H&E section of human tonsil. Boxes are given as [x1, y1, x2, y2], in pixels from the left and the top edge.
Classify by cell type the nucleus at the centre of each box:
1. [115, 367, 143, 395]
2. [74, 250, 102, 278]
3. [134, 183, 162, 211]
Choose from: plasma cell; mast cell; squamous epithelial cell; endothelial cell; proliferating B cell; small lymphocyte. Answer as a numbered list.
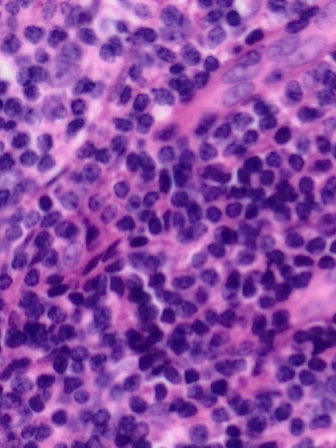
1. small lymphocyte
2. endothelial cell
3. small lymphocyte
